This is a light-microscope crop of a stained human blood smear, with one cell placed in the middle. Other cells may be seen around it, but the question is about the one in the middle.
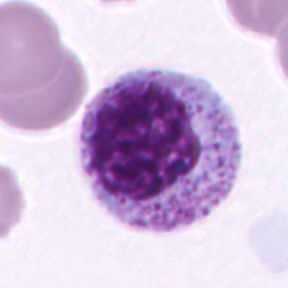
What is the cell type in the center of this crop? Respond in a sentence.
The cell found in the middle of this crop is a myelocyte.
